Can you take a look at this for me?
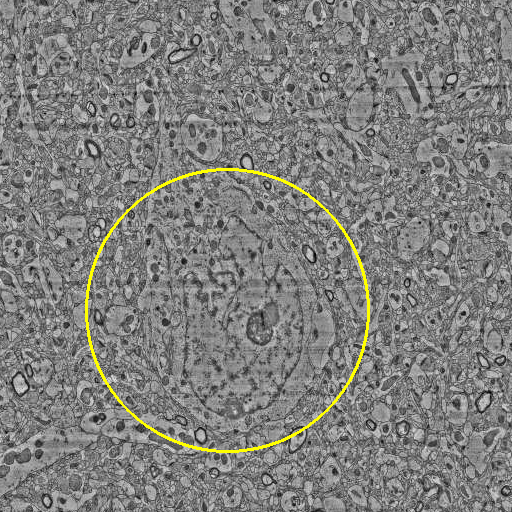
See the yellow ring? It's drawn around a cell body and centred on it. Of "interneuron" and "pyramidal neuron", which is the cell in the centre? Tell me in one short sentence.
The one in the centre is an interneuron.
